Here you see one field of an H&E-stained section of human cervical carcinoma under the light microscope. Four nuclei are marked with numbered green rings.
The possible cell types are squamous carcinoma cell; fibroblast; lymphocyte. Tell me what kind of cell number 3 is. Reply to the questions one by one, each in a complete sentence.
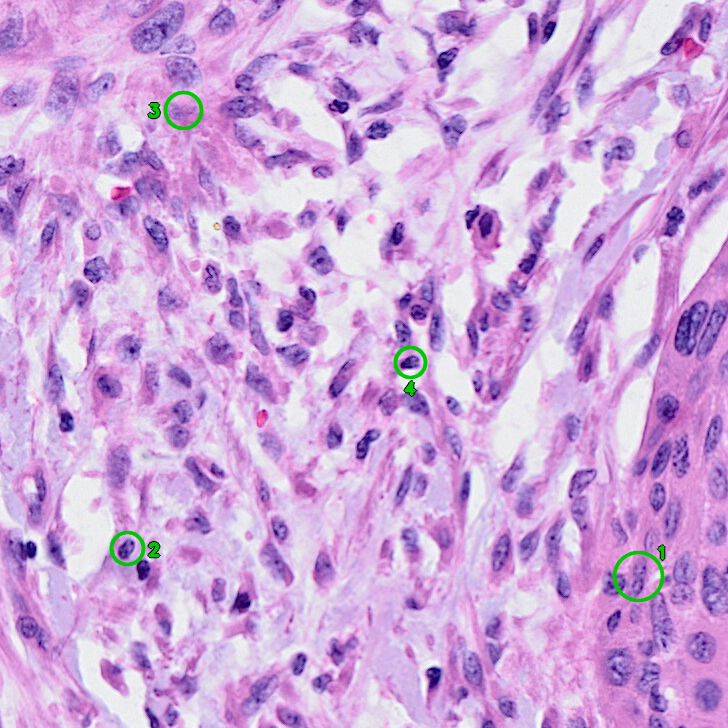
The numeral 3 marks a fibroblast in this section.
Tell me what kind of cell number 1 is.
Number 1 is placed on a squamous carcinoma cell here.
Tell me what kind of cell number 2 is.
The cell bearing label 2 corresponds to a lymphocyte.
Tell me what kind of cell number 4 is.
Regarding cell 4, this one is a lymphocyte.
